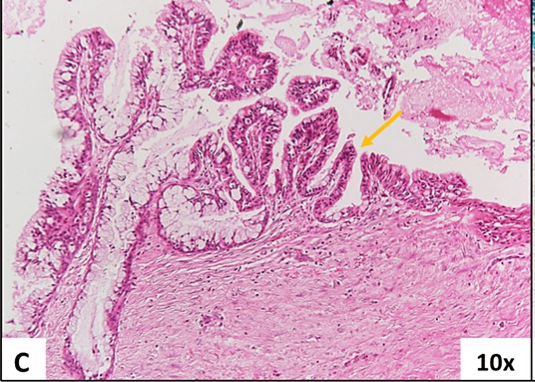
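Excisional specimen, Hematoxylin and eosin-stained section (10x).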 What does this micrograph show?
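This is a cyst lining made of simple columnar epithelium rich in goblet cells, folding into crypt-like invaginations. Beneath the lining lies a pink, fibrous connective tissue stroma, and pale wispy material lies in the cyst space above.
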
